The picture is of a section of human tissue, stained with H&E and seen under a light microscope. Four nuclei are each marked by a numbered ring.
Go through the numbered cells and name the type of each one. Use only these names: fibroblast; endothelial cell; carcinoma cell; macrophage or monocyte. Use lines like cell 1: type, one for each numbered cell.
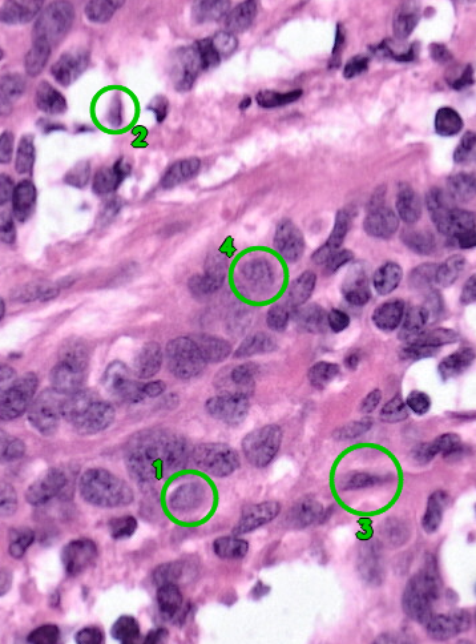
cell 1: carcinoma cell
cell 2: carcinoma cell
cell 3: endothelial cell
cell 4: carcinoma cell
